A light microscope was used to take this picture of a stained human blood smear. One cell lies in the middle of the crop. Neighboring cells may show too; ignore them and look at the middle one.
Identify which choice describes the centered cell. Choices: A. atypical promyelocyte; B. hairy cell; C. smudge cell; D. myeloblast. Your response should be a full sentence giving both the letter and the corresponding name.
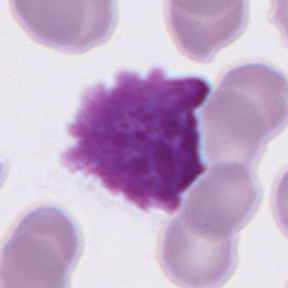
The central cell in this crop is a smudge cell, corresponding to option C, the correct option.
